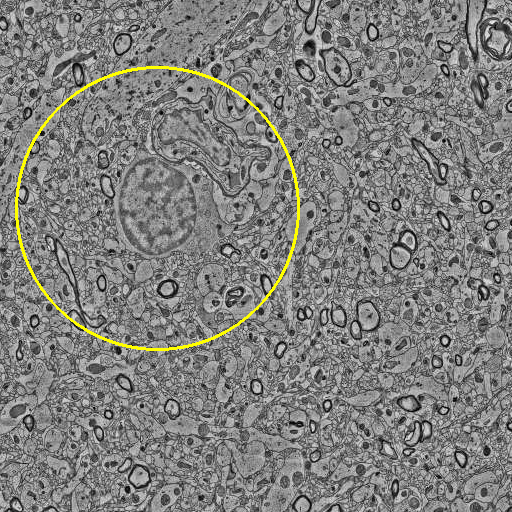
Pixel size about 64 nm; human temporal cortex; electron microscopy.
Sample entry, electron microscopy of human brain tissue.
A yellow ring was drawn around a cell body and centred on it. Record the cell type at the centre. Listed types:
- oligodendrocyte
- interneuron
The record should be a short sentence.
The cell at the ring's centre is an oligodendrocyte.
